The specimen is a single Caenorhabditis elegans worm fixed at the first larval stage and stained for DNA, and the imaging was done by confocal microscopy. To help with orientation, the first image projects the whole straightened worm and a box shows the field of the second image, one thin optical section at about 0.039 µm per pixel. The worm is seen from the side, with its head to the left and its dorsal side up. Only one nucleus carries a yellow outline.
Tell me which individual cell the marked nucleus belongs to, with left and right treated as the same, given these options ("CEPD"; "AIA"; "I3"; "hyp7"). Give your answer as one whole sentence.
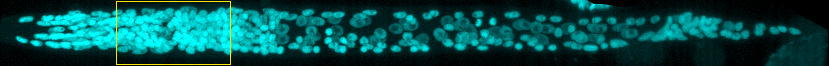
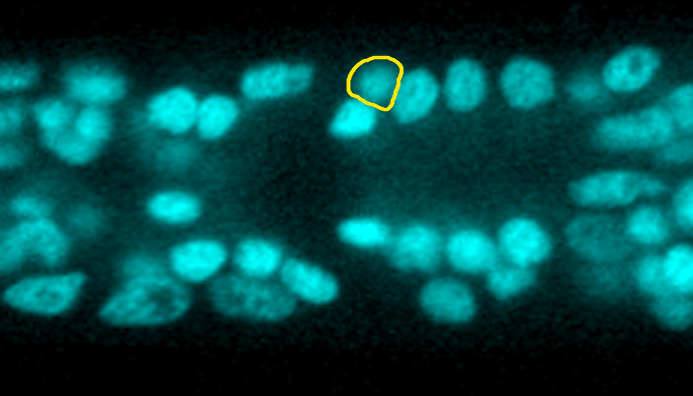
It is the nucleus of CEPD, a neuron.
